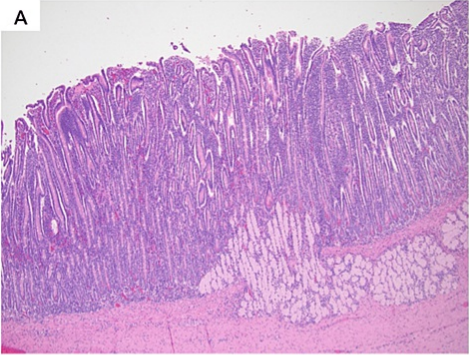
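This is a full-thickness view of small intestinal mucosa with the submucosa and muscle beneath. The mucosa is made of long, closely packed tubular crypts with purple epithelium, topped by short villous projections at the surface. Below the mucosa, in the submucosa, lie lobules of pale, bubbly-looking glands that open out in clusters. At the bottom runs a pink band of smooth muscle. The crypt zone is thick compared with the villi above it.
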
